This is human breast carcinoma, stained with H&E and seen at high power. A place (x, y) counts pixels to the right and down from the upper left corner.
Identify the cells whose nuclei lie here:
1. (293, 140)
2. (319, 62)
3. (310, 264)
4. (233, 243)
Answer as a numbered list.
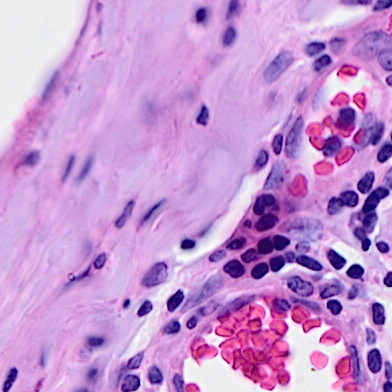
1. endothelial cell
2. lymphocyte
3. lymphocyte
4. lymphocyte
